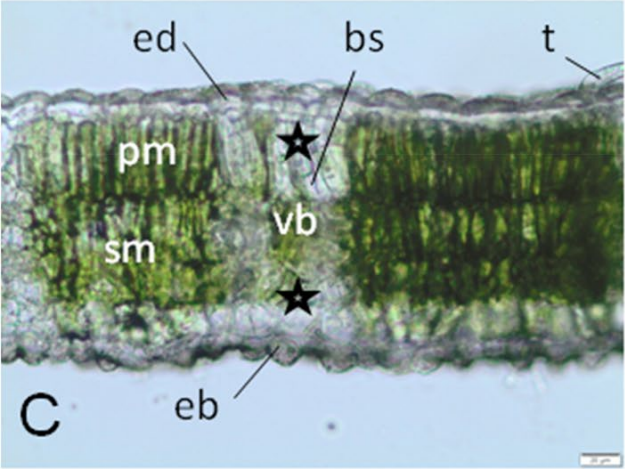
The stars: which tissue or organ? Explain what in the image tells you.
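The stars lie in pale, nearly colourless cells above and below the central vein. These pale cells run from the vein toward the upper and lower surfaces, interrupting the green mesophyll. So: colourless parenchyma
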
